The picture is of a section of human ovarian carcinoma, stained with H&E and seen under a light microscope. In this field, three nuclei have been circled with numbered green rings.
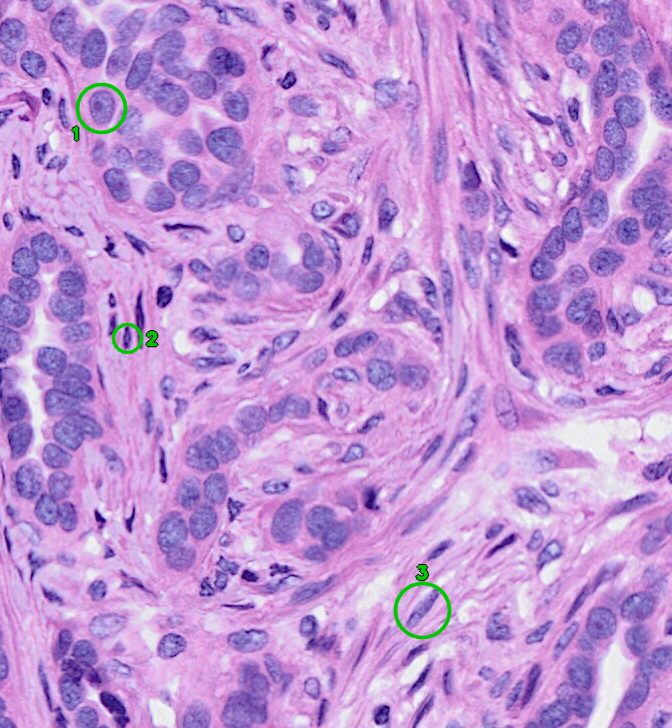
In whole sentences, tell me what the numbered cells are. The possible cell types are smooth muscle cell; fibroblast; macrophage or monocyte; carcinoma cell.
Cell 1 is a carcinoma cell, cell 2 is a fibroblast and cell 3 is a fibroblast.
